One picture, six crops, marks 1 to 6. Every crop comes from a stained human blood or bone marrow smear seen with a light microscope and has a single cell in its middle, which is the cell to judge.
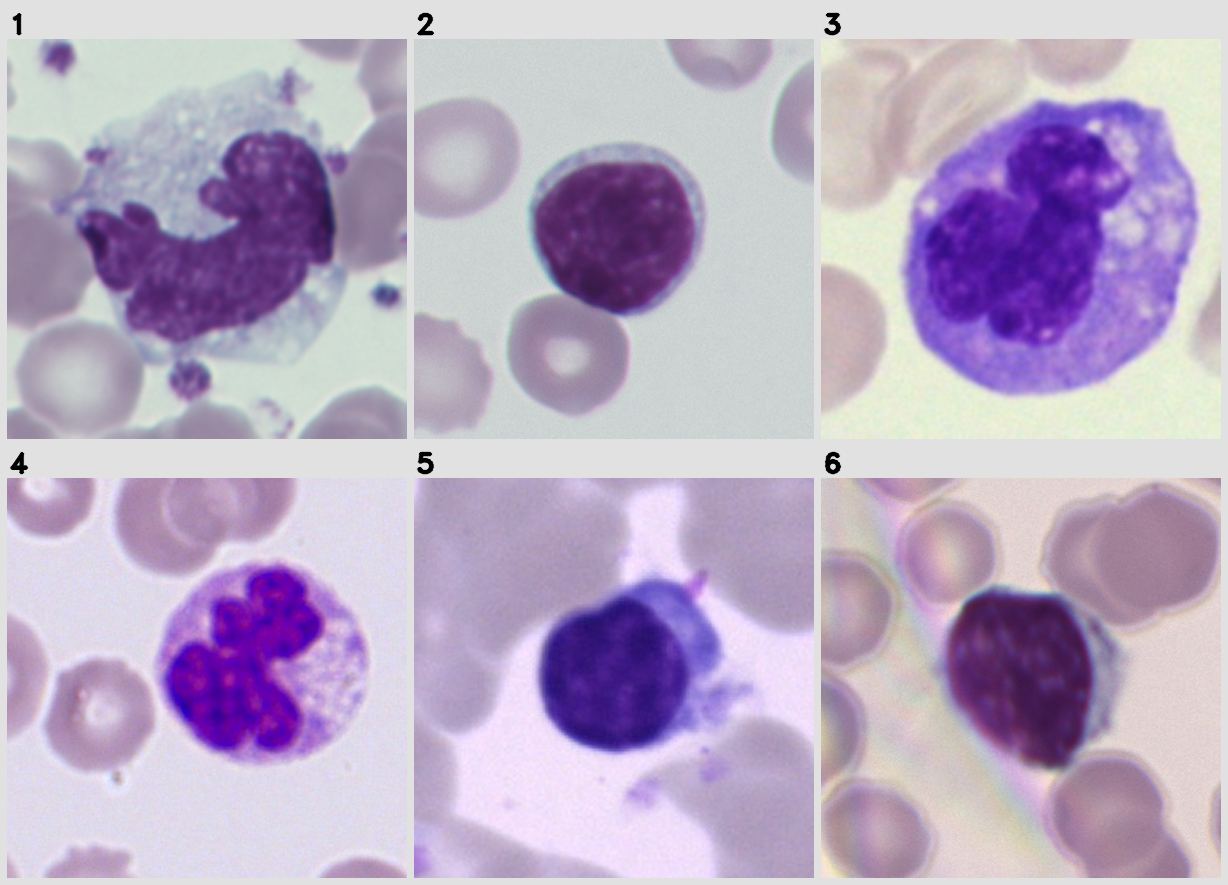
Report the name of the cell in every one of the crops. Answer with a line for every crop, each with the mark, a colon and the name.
1: monocyte
2: lymphocyte
3: monocyte
4: monocyte
5: lymphocyte
6: lymphocyte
